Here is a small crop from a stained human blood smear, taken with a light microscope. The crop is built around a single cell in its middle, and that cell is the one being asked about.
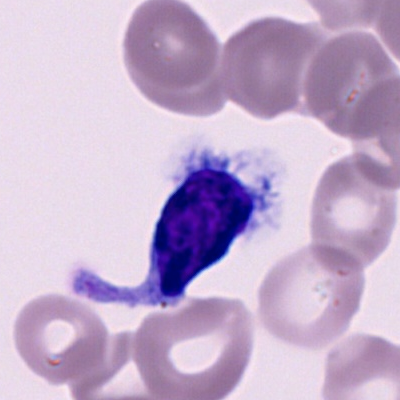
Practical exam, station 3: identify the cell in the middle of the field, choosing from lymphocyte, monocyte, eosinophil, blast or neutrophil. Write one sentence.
The cell at the central position in this crop is a lymphocyte.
